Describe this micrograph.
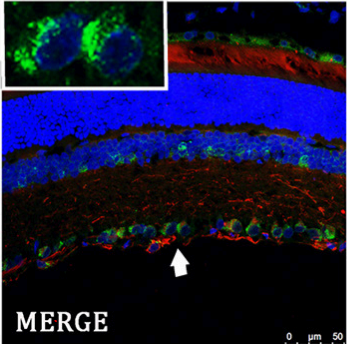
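This is a cross-section of retina showing its layered organisation, with a thick, densely packed blue outer nuclear layer, a thinner blue inner nuclear layer, and a single row of larger rounded cells in the ganglion cell layer at the inner edge. Green granular staining rings many cells of the inner nuclear layer and the ganglion cell layer, concentrated around their nuclei rather than within them. Fine red fibres run through the inner plexiform zone and form a bright red band along the innermost surface beneath the ganglion cells, with a further red band at the outer edge of the section. The inset at top left enlarges two ganglion cells whose blue nuclei are surrounded by bright green granular cytoplasm.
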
